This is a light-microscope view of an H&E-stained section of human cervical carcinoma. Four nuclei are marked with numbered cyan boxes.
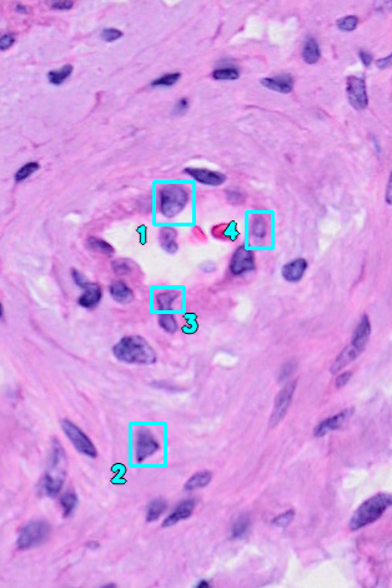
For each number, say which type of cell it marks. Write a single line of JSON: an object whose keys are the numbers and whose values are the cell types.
{"1": "endothelial cell", "2": "fibroblast", "3": "endothelial cell", "4": "endothelial cell"}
